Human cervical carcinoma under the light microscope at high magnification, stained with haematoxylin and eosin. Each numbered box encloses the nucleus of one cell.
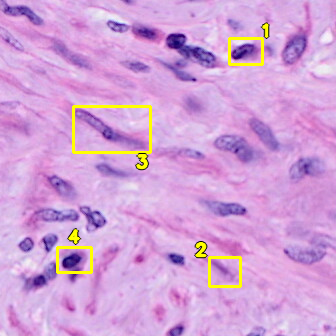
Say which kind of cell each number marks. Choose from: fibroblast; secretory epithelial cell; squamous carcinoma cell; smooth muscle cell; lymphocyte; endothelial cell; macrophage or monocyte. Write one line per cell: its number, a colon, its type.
1: lymphocyte
2: smooth muscle cell
3: smooth muscle cell
4: lymphocyte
